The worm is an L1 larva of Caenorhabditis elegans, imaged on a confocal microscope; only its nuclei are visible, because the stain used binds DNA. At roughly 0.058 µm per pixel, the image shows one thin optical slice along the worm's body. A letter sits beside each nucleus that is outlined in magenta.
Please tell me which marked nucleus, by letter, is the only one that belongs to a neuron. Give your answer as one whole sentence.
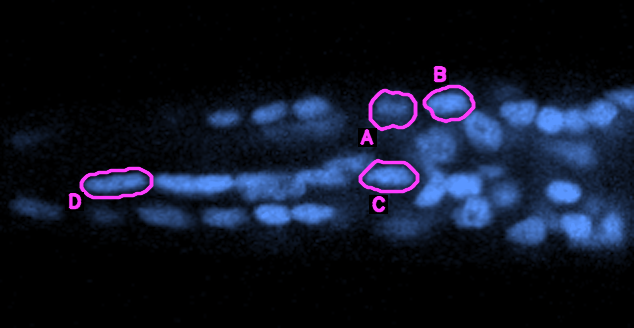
C is the one that belongs to a neuron.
